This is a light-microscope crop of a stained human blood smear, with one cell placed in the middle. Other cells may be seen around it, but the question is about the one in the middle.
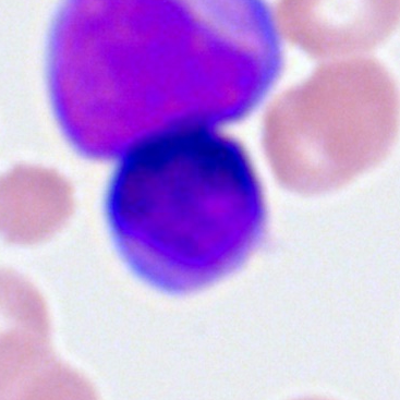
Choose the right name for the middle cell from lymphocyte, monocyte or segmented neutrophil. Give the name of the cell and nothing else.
lymphocyte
